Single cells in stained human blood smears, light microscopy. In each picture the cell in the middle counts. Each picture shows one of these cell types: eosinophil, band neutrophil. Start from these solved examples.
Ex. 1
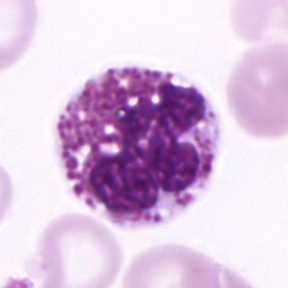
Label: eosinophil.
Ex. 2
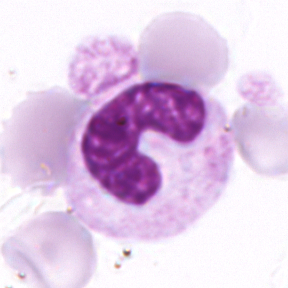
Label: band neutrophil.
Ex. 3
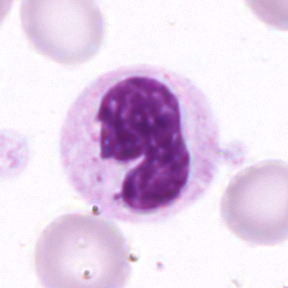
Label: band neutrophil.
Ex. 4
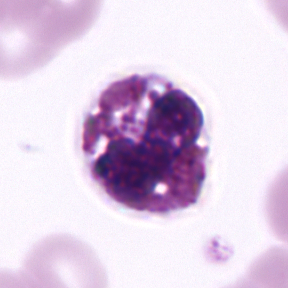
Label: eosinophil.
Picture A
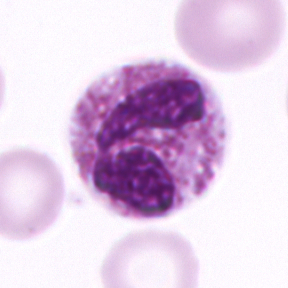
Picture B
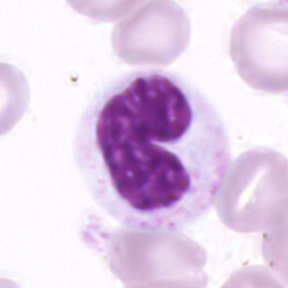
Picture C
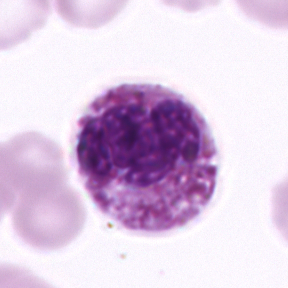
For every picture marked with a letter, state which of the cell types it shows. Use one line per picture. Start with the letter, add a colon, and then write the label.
A: eosinophil.
B: band neutrophil.
C: eosinophil.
